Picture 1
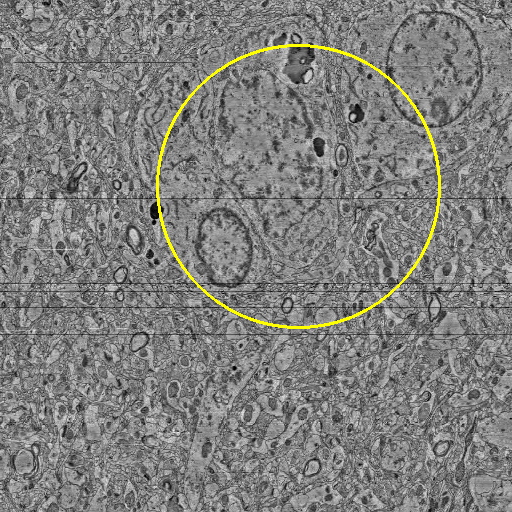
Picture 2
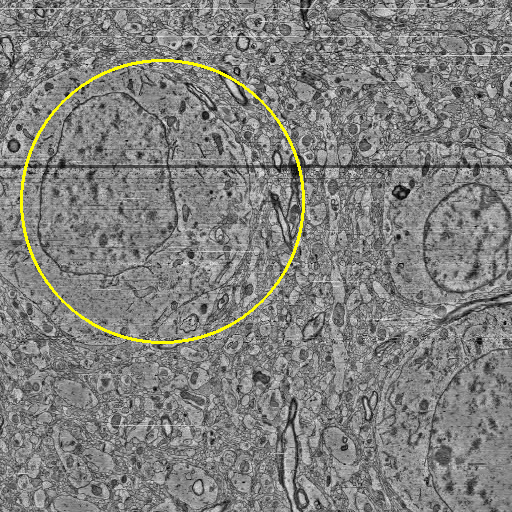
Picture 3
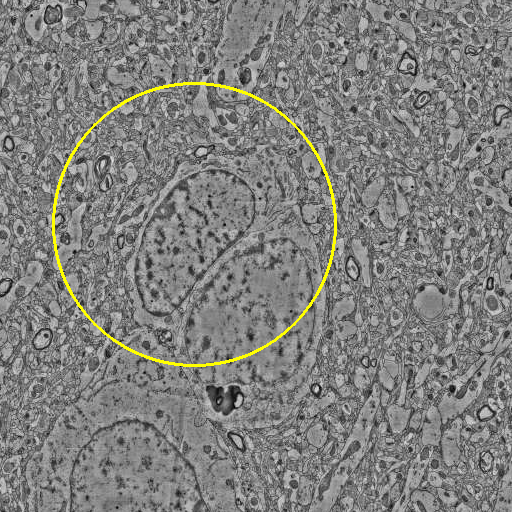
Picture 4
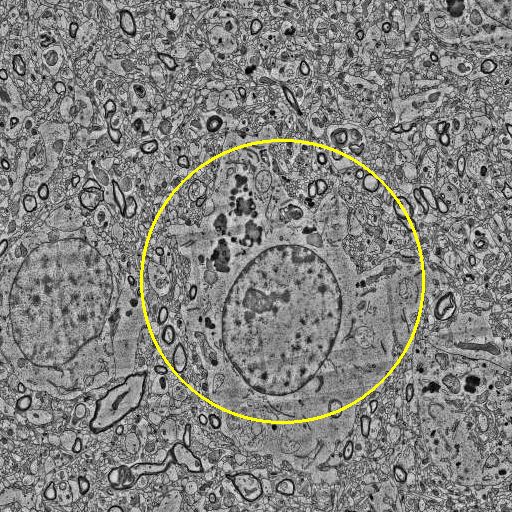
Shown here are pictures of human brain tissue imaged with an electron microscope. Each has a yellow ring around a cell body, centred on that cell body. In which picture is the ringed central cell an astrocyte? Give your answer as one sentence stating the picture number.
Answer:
My answer is picture 4, where the ringed cell at the centre is the one sought.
